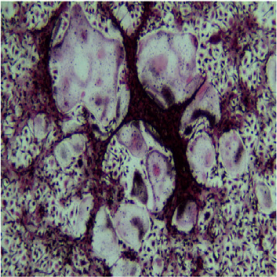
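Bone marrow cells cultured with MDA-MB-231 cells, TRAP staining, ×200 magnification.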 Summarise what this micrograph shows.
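The osteoclasts are the huge rounded or polygonal cells, many times larger than their neighbours, with pale pink cytoplasm and darker purple borders. Several of them lie side by side, and dark purple-stained material runs between them like a branching band. Around and beneath them the background is made of many small spindle-shaped cells with small dark nuclei, giving a fine speckled texture. The contrast in size between the giant stained cells and the small background cells is the main thing to notice.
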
